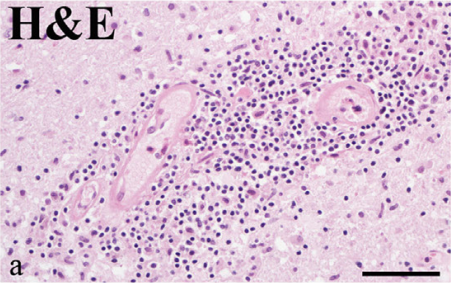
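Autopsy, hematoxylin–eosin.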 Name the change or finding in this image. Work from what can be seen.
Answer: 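Dense sheets of small round dark nuclei surround the vessels. The infiltrate is centred on blood vessels within pale brain tissue. The answer: chronic lymphocytic inflammation.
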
